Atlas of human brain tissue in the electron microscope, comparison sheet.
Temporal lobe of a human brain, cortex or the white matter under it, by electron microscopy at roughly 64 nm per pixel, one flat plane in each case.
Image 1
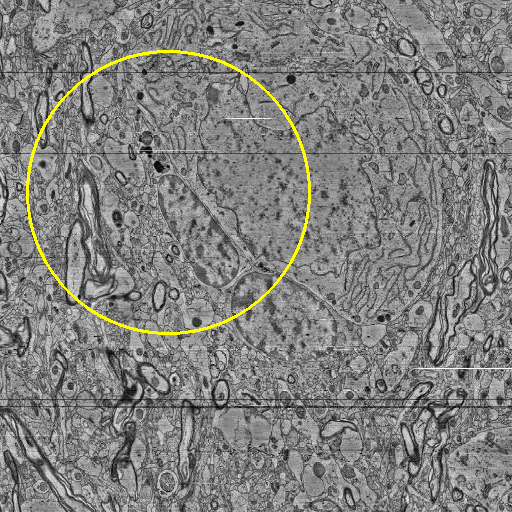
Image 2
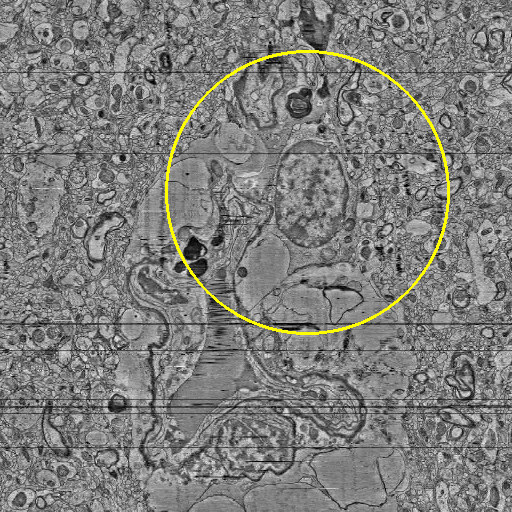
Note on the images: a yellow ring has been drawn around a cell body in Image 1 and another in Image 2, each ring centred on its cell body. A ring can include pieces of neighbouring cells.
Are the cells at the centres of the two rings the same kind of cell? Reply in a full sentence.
No, the two cells are of two kinds.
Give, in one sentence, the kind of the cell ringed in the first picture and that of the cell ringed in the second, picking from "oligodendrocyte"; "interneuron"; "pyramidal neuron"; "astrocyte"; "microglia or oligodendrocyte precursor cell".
For the first picture it is a microglial cell or oligodendrocyte precursor cell; for the second, an oligodendrocyte.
